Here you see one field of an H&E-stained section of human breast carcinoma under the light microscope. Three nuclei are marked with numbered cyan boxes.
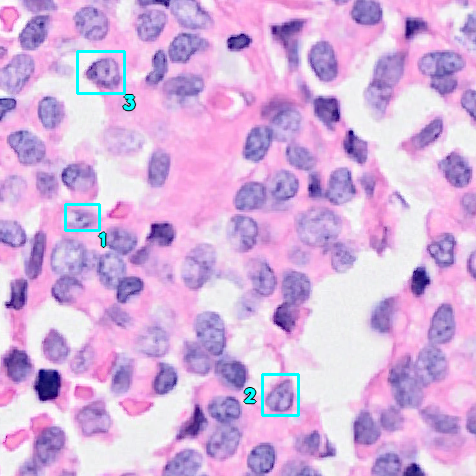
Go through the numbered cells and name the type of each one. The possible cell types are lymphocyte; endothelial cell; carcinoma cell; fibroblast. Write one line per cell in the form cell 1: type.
cell 1: endothelial cell
cell 2: carcinoma cell
cell 3: carcinoma cell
